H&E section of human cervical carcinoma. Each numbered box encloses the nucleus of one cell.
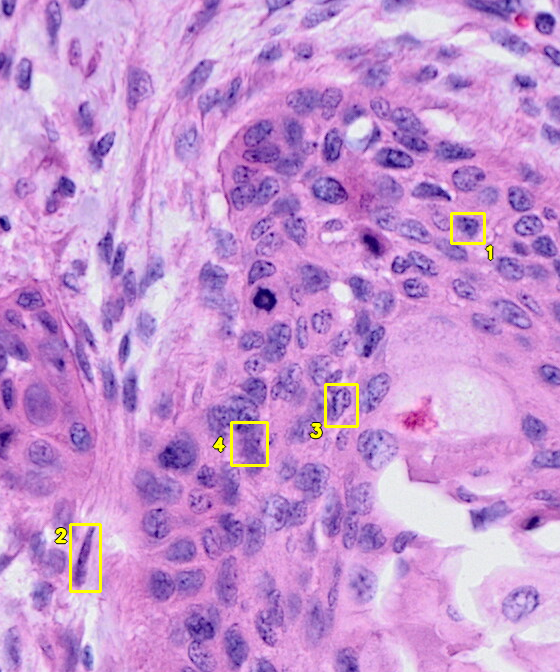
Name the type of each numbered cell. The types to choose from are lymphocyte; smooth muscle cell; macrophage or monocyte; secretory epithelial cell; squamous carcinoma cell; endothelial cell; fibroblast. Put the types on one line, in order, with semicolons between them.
squamous carcinoma cell; fibroblast; squamous carcinoma cell; squamous carcinoma cell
